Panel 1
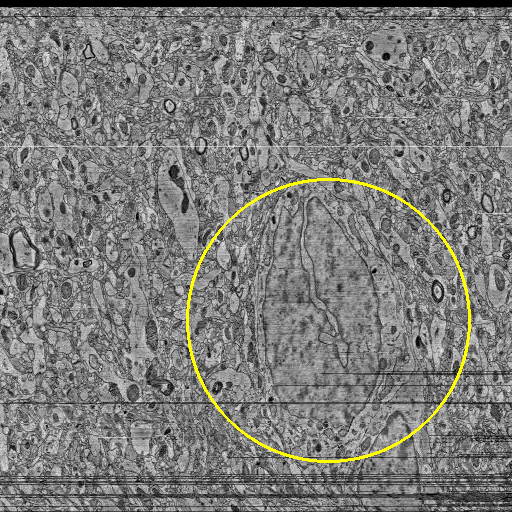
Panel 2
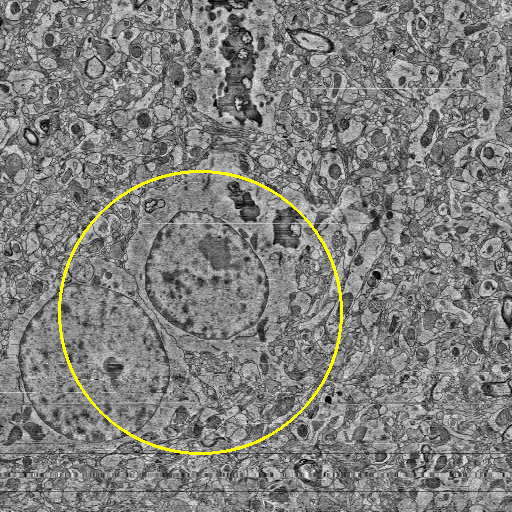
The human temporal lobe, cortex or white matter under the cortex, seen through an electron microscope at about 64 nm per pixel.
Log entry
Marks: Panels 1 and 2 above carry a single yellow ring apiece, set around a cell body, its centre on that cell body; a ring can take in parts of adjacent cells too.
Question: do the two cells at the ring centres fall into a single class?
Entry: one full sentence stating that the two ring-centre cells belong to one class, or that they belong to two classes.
The two ring-centre cells in Panels 1 and 2 belong to two classes.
